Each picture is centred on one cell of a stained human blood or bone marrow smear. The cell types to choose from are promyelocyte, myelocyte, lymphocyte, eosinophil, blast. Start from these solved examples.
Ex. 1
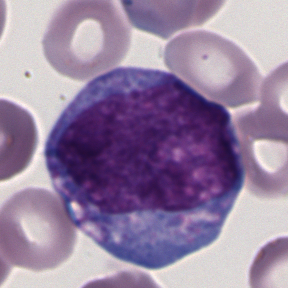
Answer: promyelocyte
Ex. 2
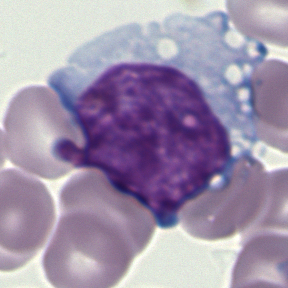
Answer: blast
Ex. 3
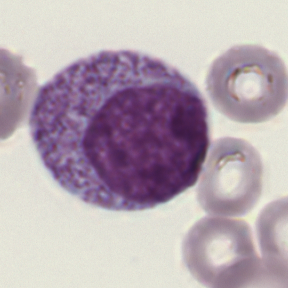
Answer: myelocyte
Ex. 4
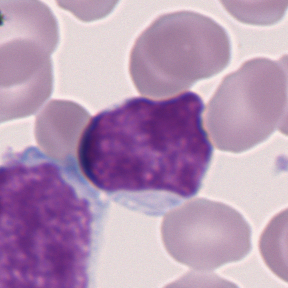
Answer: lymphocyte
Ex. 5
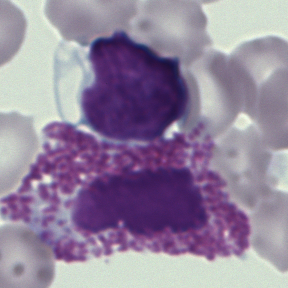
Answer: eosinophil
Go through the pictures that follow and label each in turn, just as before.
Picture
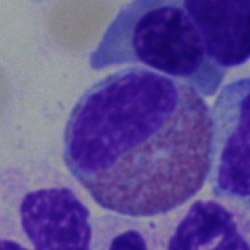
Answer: eosinophil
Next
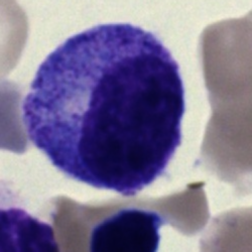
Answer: promyelocyte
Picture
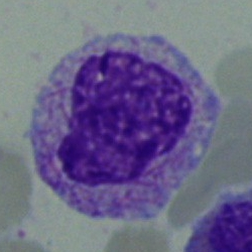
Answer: myelocyte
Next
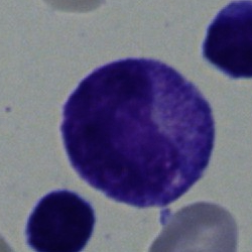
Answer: promyelocyte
